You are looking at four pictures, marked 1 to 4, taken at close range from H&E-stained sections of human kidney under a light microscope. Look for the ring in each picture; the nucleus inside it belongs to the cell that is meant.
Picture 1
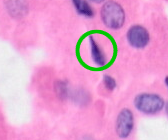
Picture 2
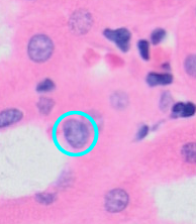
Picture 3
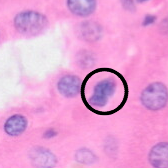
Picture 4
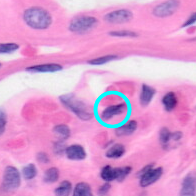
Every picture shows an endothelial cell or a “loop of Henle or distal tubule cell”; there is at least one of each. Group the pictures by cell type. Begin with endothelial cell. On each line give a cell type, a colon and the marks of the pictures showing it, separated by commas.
endothelial cell: 1, 3, 4
loop of Henle or distal tubule cell: 2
